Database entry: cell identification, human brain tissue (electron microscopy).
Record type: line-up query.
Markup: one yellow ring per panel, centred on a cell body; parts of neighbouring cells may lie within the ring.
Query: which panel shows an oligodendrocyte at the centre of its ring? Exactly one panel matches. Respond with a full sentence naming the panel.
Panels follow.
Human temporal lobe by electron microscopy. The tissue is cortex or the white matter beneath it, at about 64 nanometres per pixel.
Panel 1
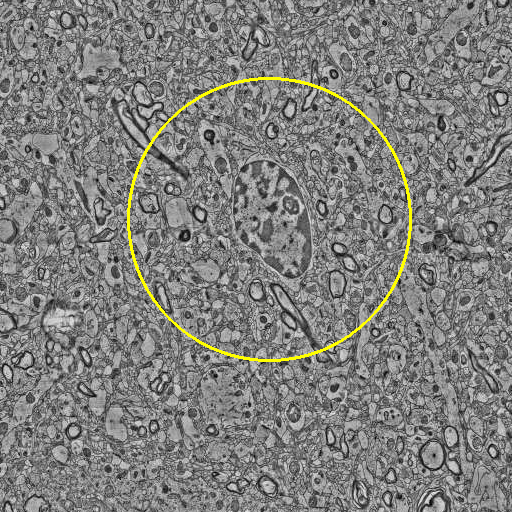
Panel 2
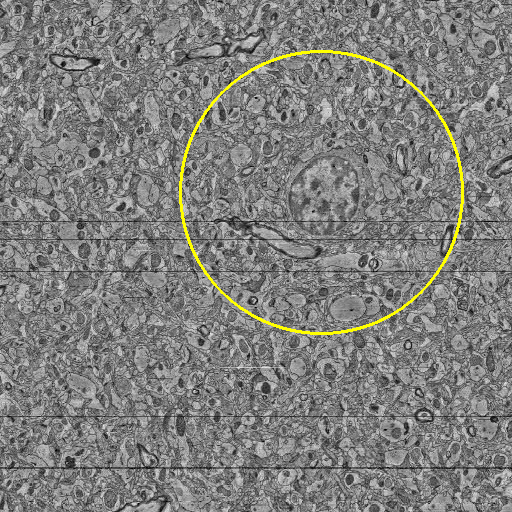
Panel 2 shows it at the centre of the ring.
